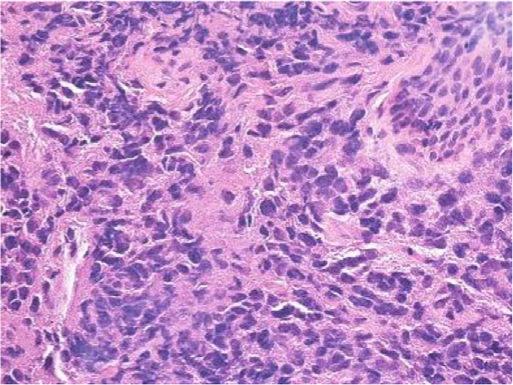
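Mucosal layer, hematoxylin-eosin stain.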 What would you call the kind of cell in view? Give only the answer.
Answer: Plasma cells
